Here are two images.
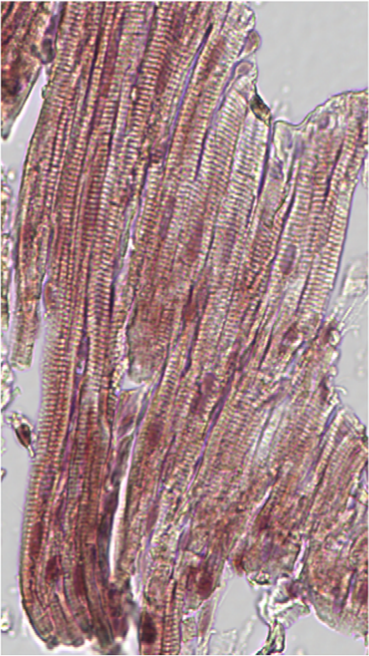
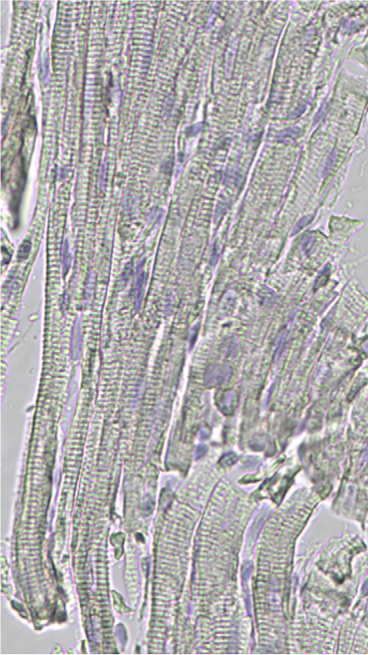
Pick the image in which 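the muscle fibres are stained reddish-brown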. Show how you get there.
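The first image. Second image: the striated fibres are pale grey-green with only blue nuclei. First image: the striated fibres are strongly reddish-brown throughout.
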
